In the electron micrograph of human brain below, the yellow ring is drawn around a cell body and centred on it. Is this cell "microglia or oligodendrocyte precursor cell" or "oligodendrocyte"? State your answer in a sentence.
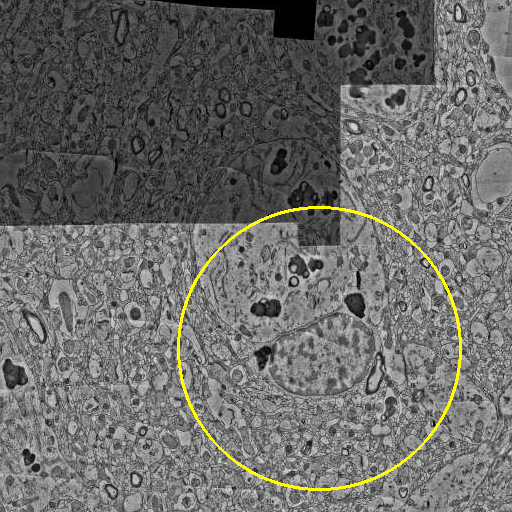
The cell in the middle of the ring is an oligodendrocyte.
